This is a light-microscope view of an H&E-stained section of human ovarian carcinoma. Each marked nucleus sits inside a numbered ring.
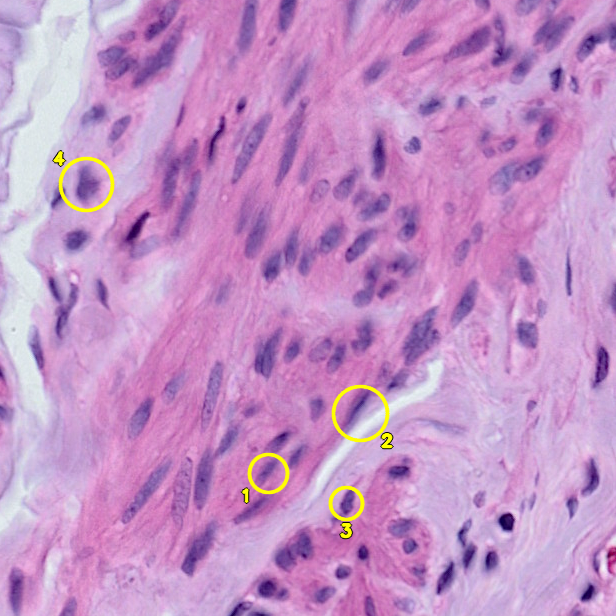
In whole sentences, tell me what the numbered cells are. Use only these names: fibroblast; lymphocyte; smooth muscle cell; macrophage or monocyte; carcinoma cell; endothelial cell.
Cells 1, 2 and 3 are smooth muscle cells. Cell 4 is a fibroblast.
